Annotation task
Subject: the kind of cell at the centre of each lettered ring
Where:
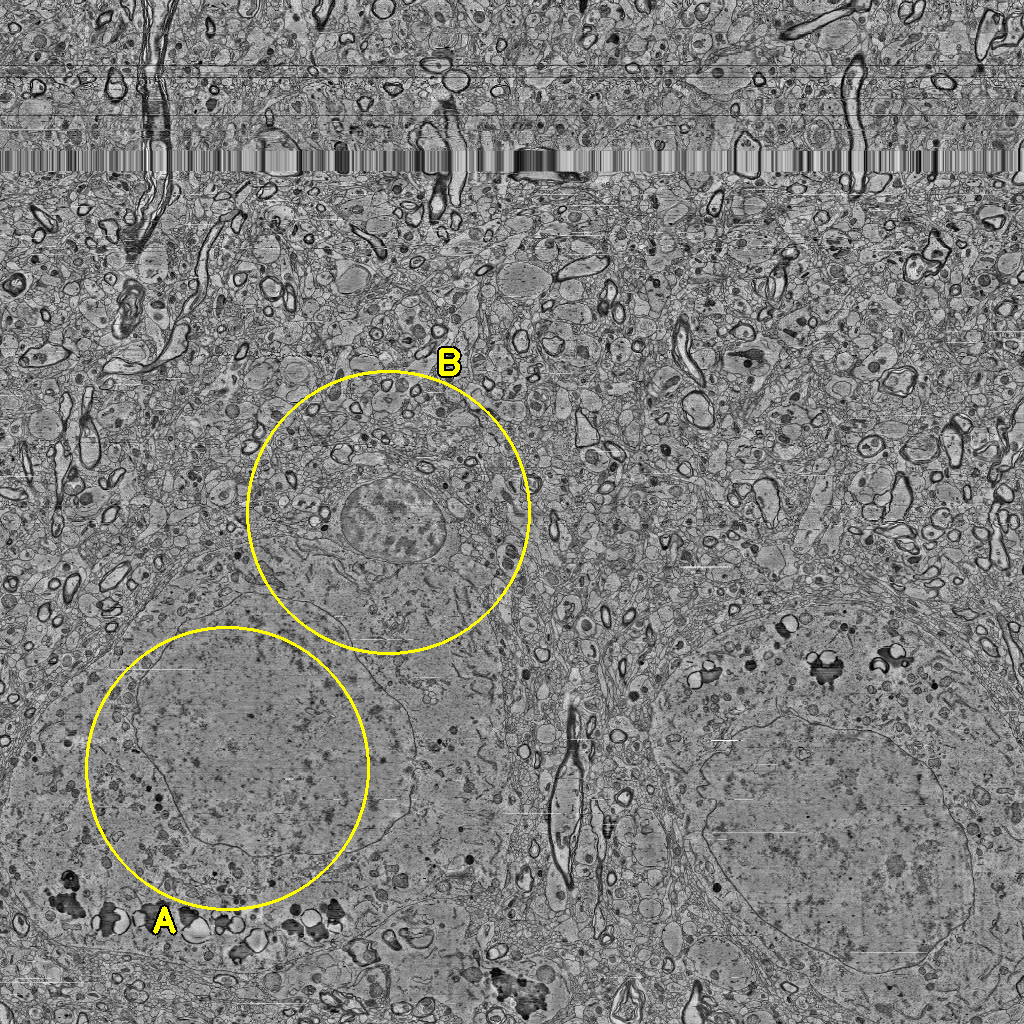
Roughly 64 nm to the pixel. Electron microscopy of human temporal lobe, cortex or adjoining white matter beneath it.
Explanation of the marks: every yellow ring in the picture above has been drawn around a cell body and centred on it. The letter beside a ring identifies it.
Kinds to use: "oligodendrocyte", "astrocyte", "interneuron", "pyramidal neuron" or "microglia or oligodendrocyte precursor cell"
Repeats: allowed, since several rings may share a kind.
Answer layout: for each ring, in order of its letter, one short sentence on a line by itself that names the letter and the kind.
The ring lettered A is drawn around a pyramidal neuron.
The ring lettered B is drawn around an oligodendrocyte.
